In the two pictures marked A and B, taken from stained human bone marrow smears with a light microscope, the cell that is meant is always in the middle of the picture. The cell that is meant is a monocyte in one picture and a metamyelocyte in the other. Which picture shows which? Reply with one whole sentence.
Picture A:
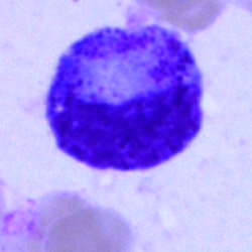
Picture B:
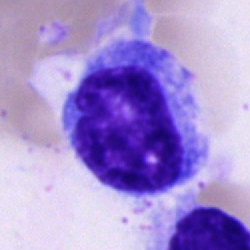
The cell in picture A is a metamyelocyte, and the one in picture B is a monocyte.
